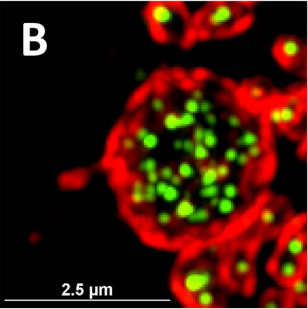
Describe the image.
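A large, round, red-outlined compartment fills most of the view, its rim drawn as a continuous membrane ring with some folds. Inside it many bright green dots of varied size crowd together, far more than in any neighbour. Around it lie smaller red rings and tubules, most enclosing just one or two green dots.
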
